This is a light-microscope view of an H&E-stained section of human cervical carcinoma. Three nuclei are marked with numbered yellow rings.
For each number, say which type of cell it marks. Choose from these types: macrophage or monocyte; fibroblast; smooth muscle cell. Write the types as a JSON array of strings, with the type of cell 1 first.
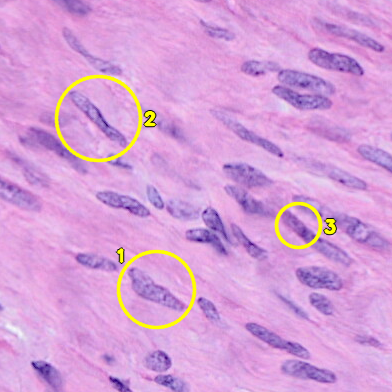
["fibroblast", "smooth muscle cell", "smooth muscle cell"]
